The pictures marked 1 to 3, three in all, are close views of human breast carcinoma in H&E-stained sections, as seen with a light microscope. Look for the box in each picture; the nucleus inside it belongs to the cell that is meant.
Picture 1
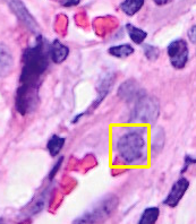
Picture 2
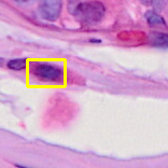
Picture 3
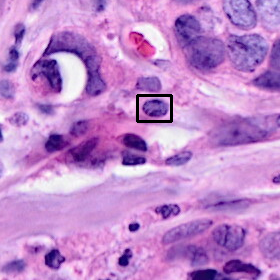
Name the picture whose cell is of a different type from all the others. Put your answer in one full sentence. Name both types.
The different one is picture 1; it shows an endothelial cell, whereas all the others show mast cells.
